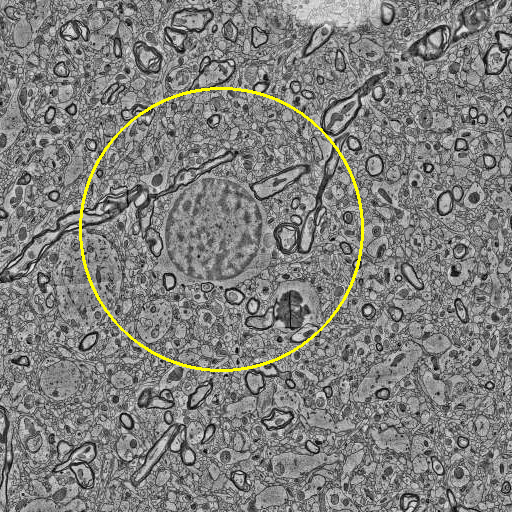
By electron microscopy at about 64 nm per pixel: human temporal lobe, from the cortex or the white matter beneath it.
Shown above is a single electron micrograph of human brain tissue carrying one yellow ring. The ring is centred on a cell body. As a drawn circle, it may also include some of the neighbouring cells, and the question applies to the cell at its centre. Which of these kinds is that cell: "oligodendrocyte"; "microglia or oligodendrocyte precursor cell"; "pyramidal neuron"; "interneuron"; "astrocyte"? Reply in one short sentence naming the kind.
The cell marked by the ring is an oligodendrocyte.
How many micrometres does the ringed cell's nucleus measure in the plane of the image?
About 7 by 6 micrometers for the nucleus, in this plane.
